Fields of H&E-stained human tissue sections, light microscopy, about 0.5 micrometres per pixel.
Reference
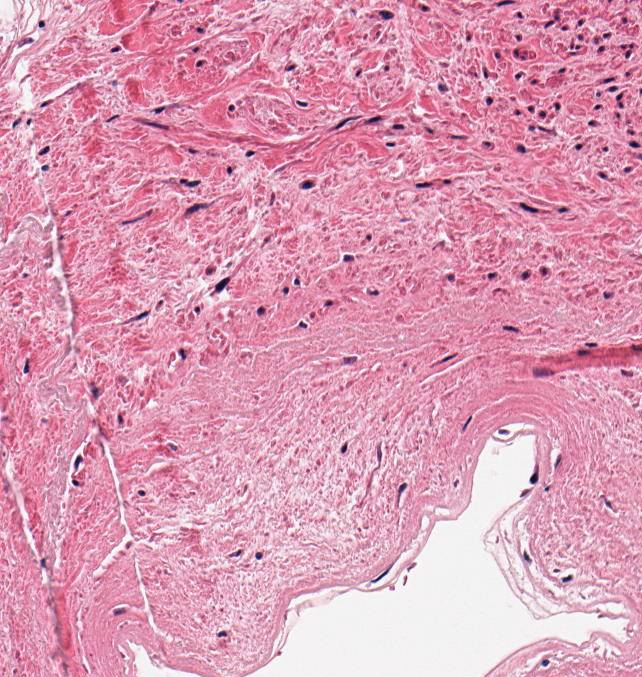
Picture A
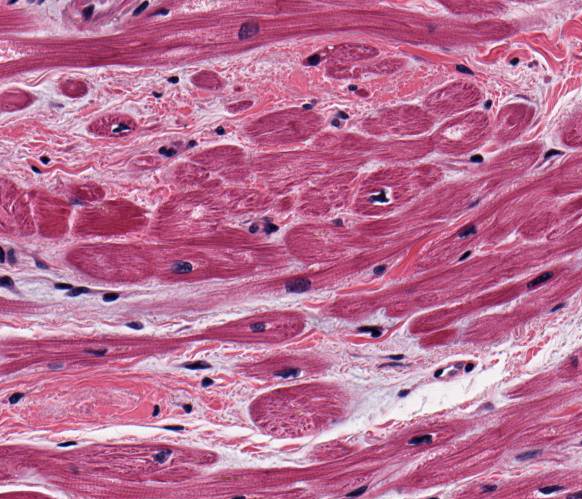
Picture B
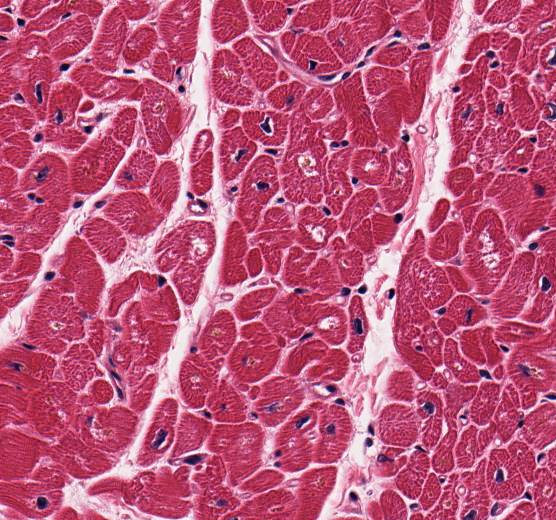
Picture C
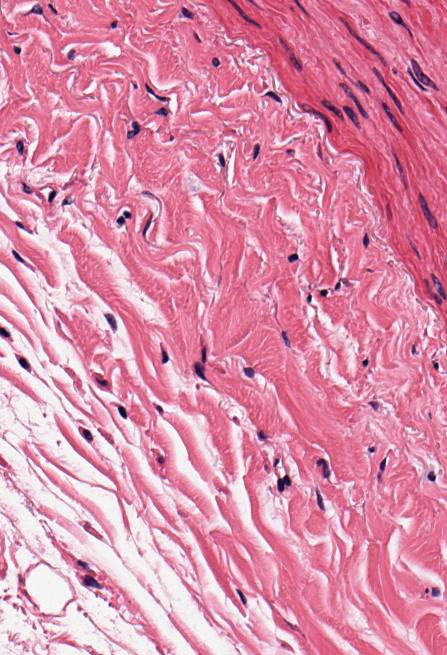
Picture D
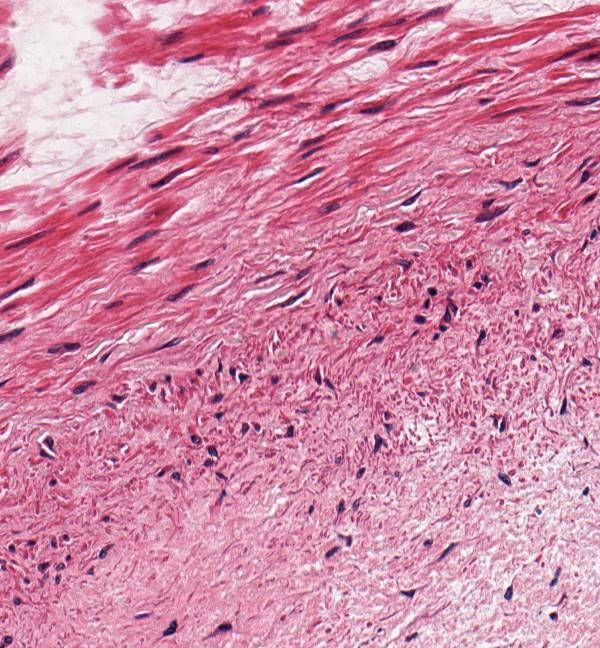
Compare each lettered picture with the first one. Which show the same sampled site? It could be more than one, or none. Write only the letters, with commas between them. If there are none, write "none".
C, D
